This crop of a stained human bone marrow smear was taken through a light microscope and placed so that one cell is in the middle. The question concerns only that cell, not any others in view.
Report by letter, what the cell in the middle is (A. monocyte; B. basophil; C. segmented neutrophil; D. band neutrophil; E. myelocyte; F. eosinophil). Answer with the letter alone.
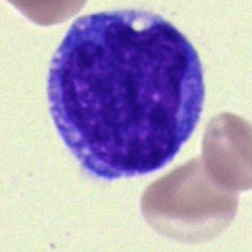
A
